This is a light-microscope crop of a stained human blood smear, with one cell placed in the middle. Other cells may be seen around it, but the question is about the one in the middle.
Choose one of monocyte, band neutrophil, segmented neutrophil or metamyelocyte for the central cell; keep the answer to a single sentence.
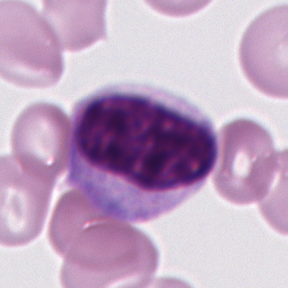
At the crop's centre, the cell is a metamyelocyte.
